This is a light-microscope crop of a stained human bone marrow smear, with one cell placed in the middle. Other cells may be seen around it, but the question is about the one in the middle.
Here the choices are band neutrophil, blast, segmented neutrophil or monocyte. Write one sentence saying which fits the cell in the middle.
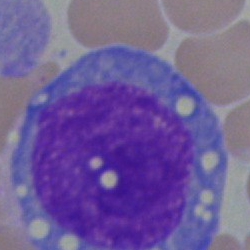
The identification for the central cell is a blast.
